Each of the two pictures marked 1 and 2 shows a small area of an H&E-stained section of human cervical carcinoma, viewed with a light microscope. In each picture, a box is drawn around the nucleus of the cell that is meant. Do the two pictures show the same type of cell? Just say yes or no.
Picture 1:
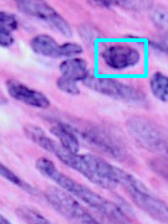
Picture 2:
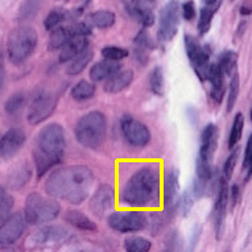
no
